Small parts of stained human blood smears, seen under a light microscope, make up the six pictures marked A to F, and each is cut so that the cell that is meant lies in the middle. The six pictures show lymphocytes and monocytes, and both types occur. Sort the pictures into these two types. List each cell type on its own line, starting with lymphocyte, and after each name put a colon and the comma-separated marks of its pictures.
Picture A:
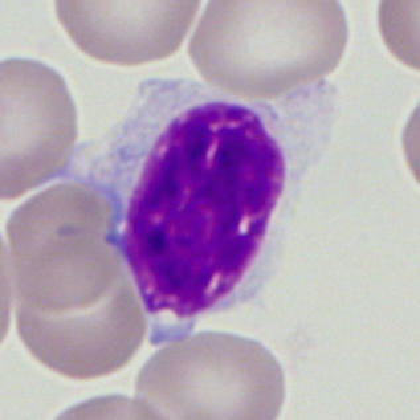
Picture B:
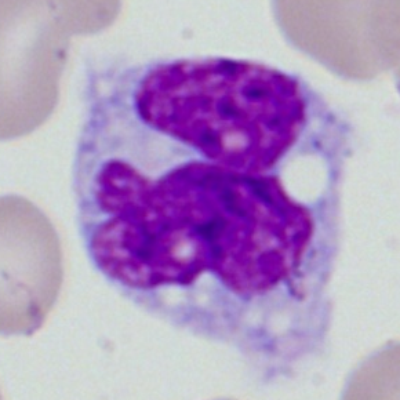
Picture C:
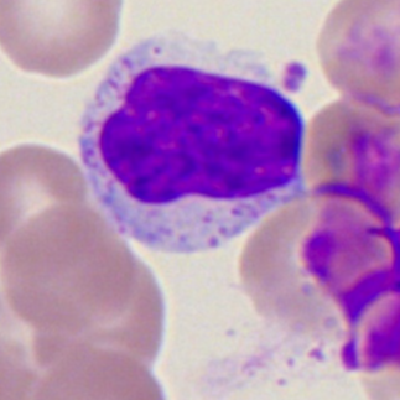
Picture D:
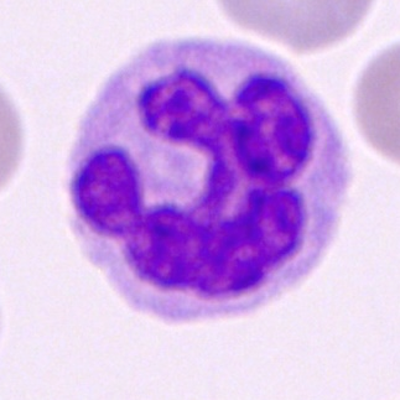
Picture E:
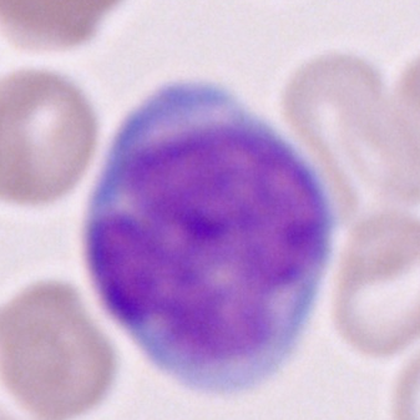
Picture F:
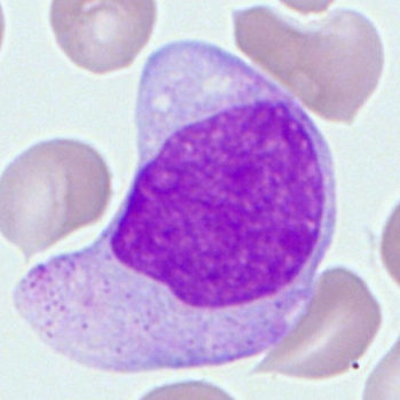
lymphocyte: A, C
monocyte: B, D, E, F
